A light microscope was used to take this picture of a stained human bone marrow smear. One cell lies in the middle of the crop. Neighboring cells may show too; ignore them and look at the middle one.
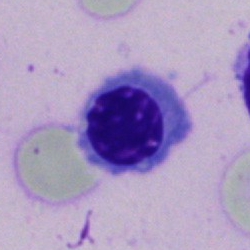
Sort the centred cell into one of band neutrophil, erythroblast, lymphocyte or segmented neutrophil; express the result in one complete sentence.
By type, the central cell of the crop is an erythroblast.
